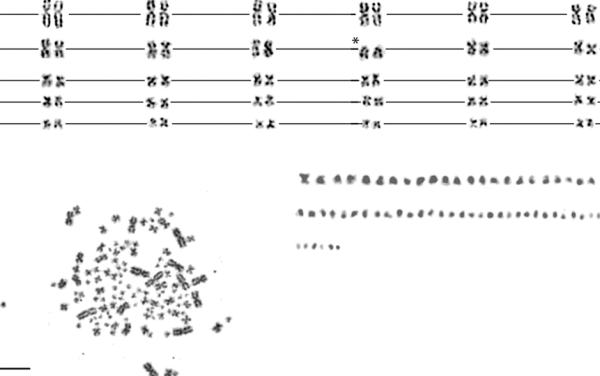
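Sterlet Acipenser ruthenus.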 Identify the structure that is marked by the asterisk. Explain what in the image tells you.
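The marked chromosomes are rounded at one end without a visible second arm. They stand in a row among the larger chromosomes of the karyotype.
The largest acrocentric chromosomes.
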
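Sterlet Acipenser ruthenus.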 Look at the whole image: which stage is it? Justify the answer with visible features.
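Metaphase. Condensed, separate, darkly stained chromosomes are scattered in a spread. No nucleus with an envelope or interphase chromatin is seen.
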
